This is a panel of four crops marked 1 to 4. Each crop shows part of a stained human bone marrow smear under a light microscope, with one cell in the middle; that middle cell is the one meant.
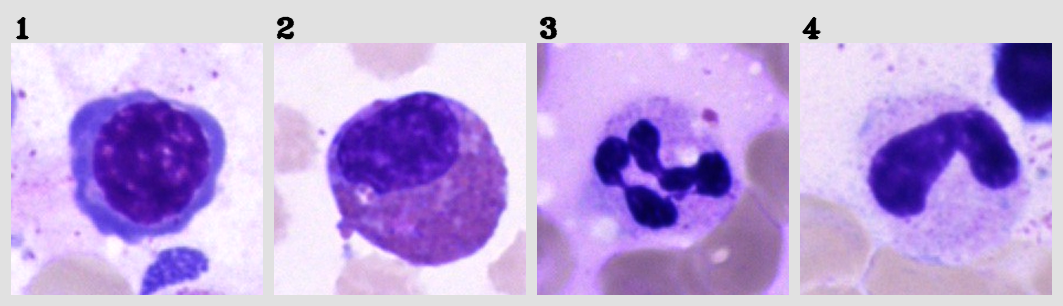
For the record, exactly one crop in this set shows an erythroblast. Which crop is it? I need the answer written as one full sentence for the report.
Crop 1 matches the request, showing an erythroblast.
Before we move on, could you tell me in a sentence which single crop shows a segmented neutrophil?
Crop 3 is the one to choose: it shows a segmented neutrophil.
